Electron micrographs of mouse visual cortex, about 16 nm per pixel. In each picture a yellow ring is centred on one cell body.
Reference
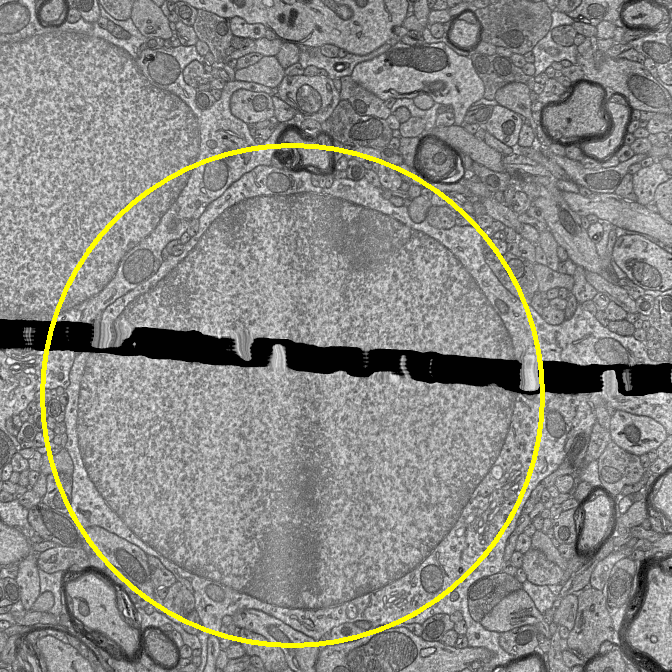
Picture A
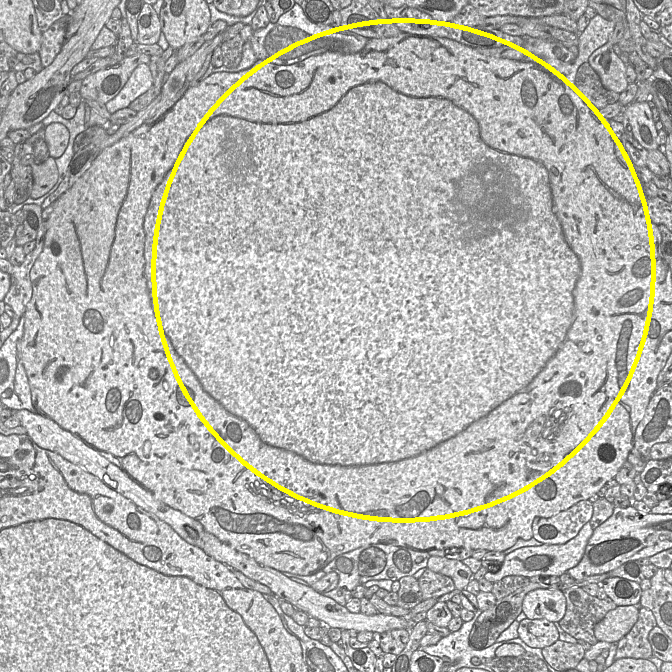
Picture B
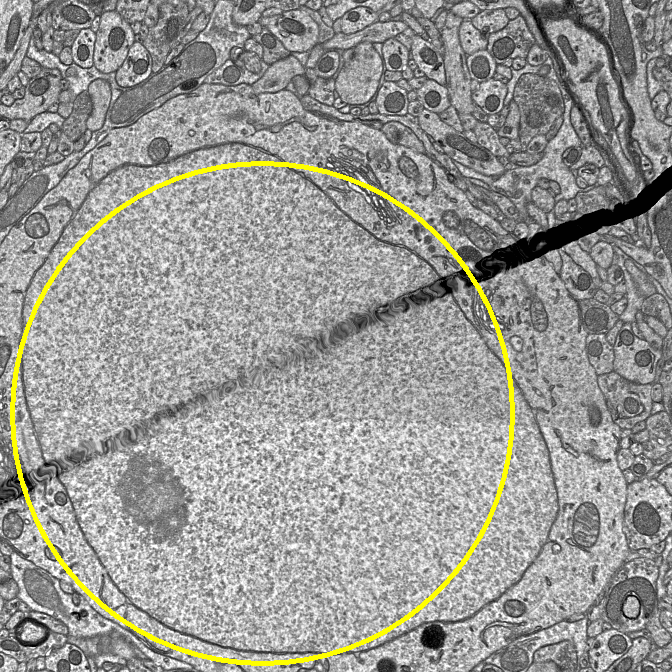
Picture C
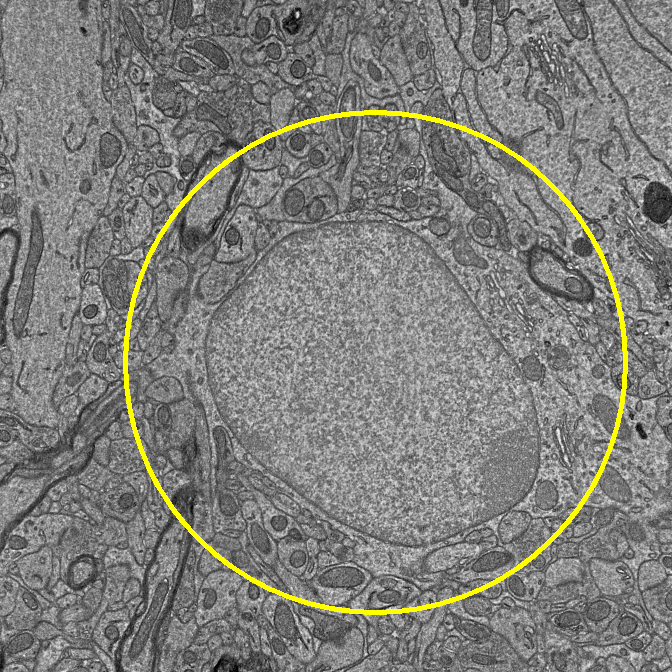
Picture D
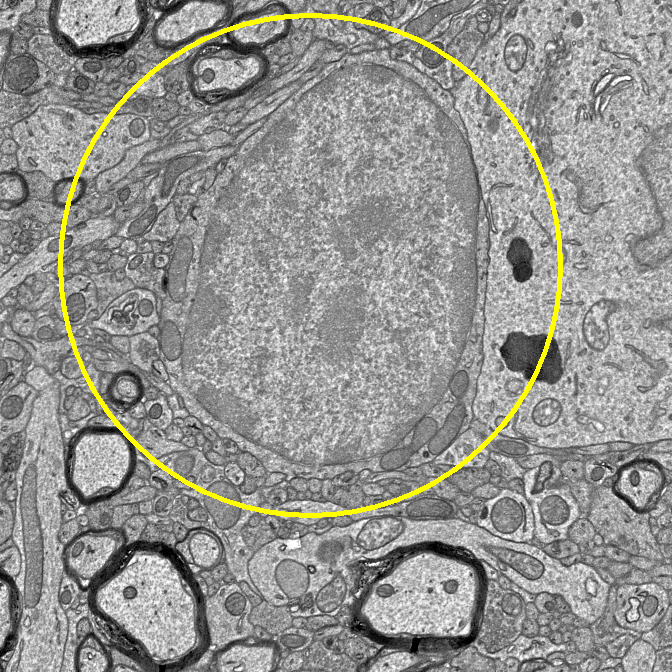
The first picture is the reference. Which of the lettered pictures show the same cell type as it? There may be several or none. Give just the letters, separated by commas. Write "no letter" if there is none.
C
